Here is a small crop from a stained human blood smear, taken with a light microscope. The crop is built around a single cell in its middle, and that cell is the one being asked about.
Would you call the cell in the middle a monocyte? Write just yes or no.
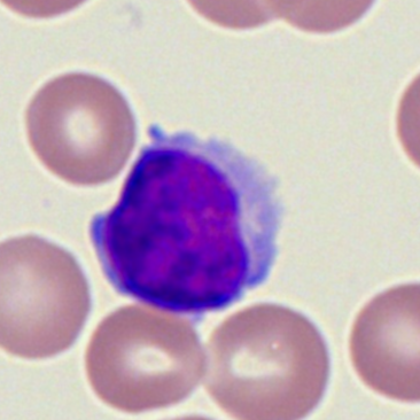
no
